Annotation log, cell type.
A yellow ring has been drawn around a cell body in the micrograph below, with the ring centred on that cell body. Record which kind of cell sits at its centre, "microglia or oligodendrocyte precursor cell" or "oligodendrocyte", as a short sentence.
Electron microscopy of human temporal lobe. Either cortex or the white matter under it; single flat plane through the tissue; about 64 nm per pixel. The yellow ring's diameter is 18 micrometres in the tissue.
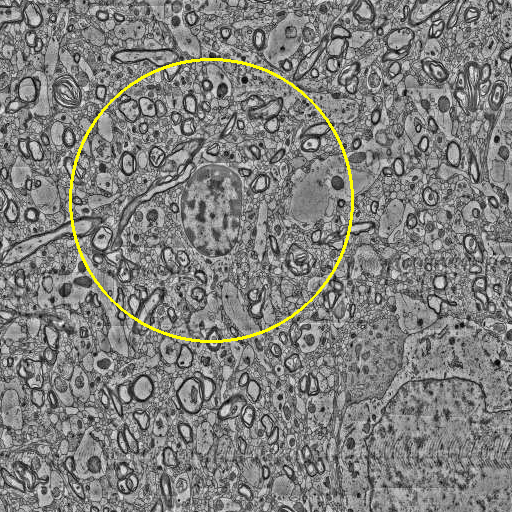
The cell at the centre of this ring is a microglial cell or oligodendrocyte precursor cell.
